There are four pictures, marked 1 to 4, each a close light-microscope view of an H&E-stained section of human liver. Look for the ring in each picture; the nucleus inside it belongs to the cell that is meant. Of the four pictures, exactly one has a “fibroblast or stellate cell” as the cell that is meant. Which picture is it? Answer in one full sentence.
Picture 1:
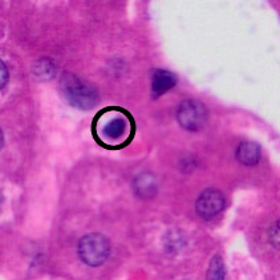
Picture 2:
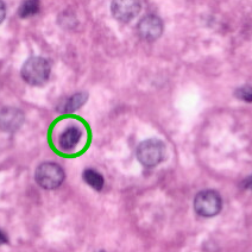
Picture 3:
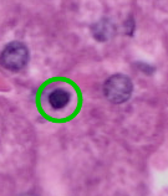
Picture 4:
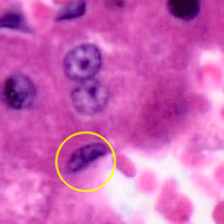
The cell in picture 4 is the “fibroblast or stellate cell”.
